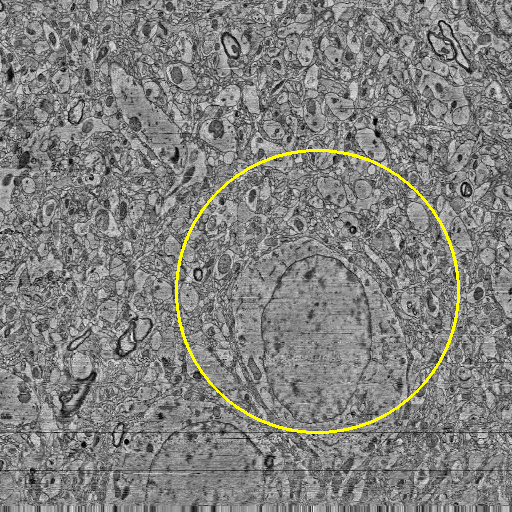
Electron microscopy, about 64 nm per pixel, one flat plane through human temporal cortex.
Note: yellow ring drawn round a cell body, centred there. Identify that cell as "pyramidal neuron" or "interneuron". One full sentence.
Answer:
The cell in the middle of the ring is a pyramidal neuron.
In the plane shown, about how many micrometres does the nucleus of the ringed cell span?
About 11 by 7 micrometres in this plane; clearly longer than it is wide.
